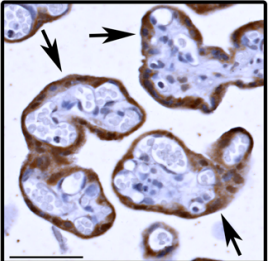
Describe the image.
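Within that rim lie small blue nuclei. The core of each villus is paler, containing loosely arranged stromal cells with blue nuclei and rounded open spaces that look like small vessels. Compare the intensely brown outer layer with the mostly blue inner core.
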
